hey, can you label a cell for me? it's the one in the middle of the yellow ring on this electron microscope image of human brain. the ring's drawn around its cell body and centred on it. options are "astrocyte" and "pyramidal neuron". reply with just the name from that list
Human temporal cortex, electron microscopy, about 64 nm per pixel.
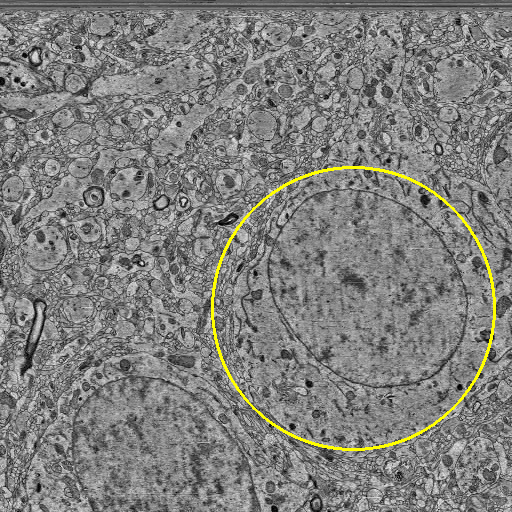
pyramidal neuron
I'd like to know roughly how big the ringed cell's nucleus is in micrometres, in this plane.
Roughly 14 by 12 micrometres in this plane, for the nucleus of the ringed cell.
